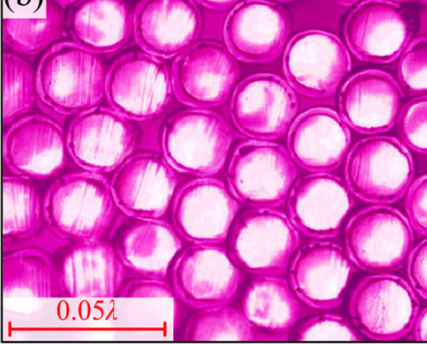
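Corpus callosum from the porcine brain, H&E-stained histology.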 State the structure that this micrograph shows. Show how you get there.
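Almost perfect hexagonal lattice. Each round profile is surrounded by about six neighbours.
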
